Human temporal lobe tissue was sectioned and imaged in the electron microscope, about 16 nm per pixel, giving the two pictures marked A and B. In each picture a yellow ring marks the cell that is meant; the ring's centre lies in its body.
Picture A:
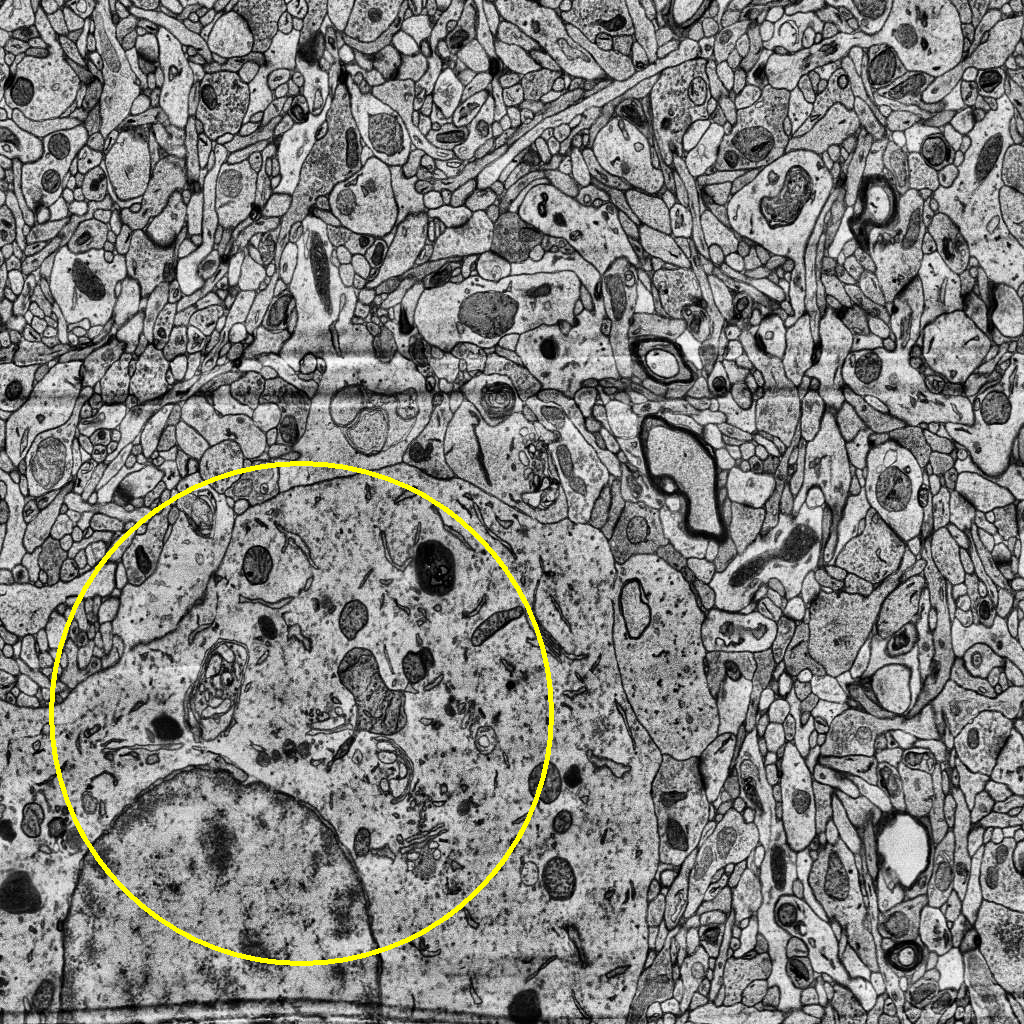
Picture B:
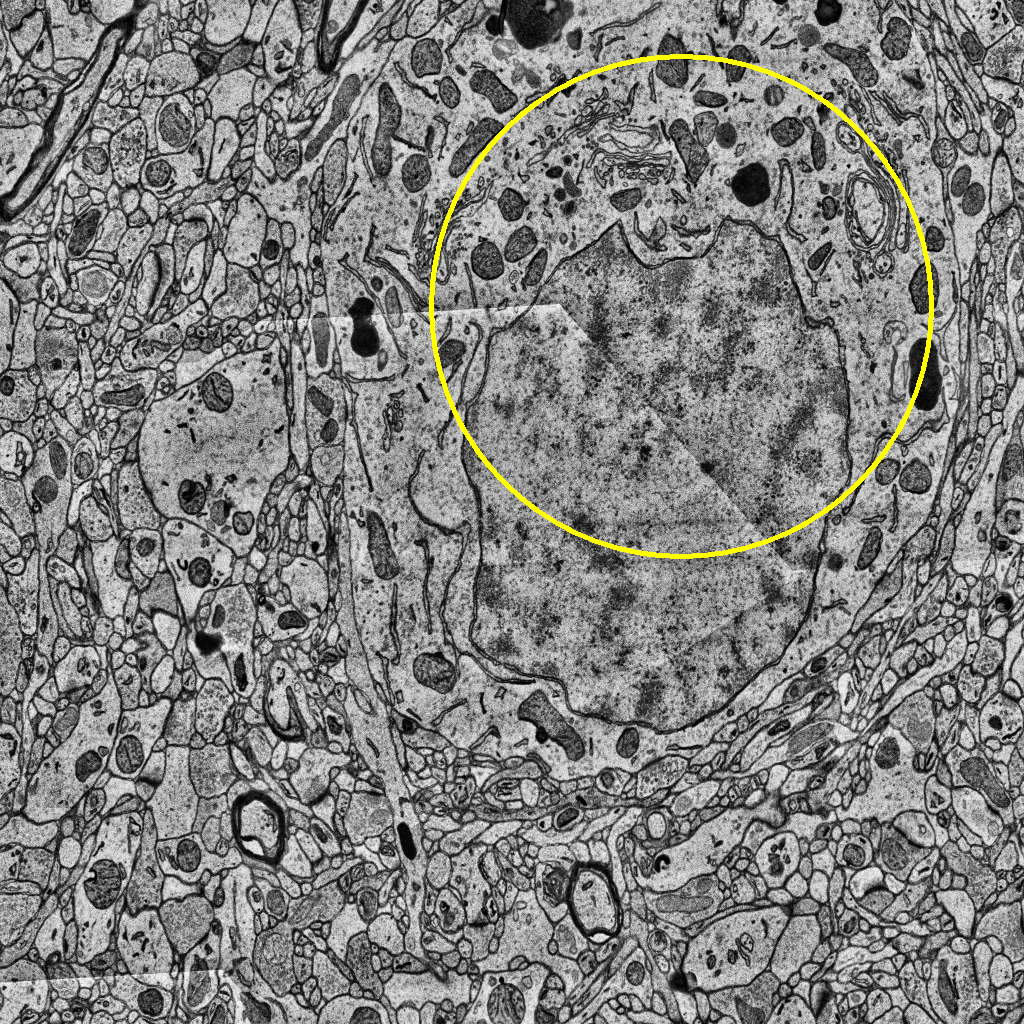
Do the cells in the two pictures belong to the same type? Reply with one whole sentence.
No, the types are not the same, since picture A shows a pyramidal neuron and picture B an interneuron.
